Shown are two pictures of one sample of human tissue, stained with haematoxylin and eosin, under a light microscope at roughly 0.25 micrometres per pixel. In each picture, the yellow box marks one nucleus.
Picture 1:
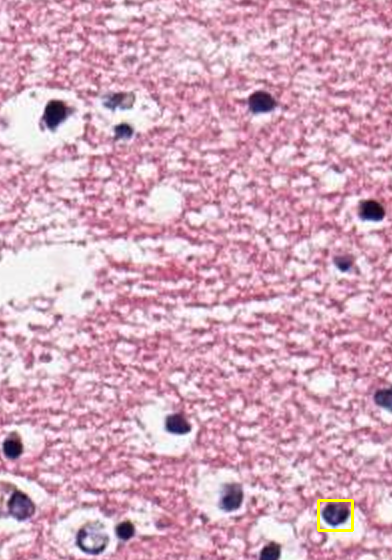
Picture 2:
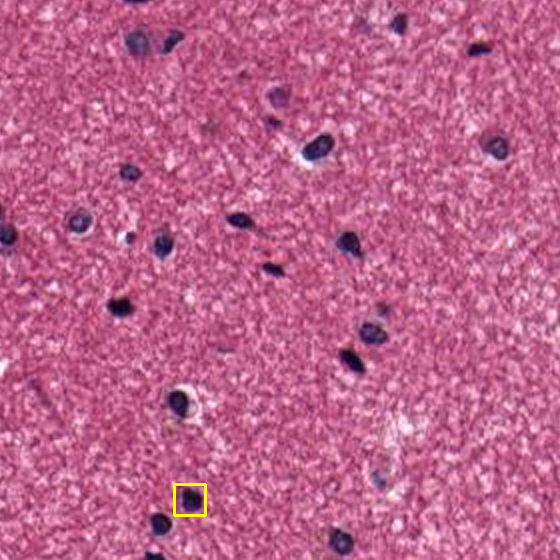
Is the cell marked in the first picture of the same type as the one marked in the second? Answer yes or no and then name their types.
Yes, both are oligodendrocytes.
